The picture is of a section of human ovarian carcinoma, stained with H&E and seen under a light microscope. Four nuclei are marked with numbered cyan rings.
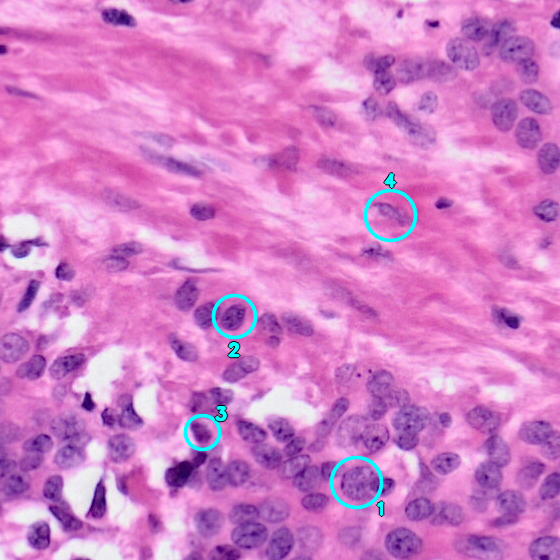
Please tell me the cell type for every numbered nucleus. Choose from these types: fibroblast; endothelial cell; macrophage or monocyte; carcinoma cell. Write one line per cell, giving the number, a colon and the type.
1: carcinoma cell
2: carcinoma cell
3: carcinoma cell
4: fibroblast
